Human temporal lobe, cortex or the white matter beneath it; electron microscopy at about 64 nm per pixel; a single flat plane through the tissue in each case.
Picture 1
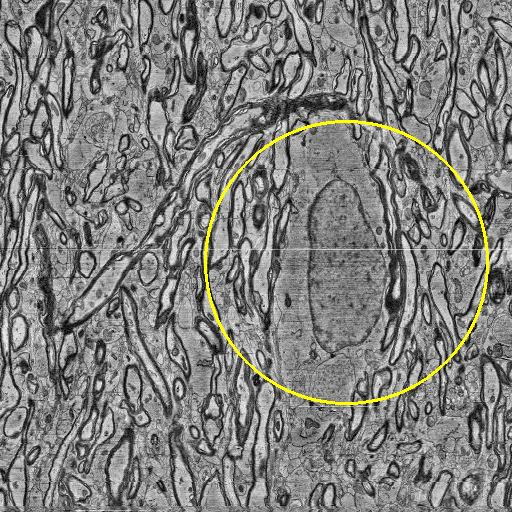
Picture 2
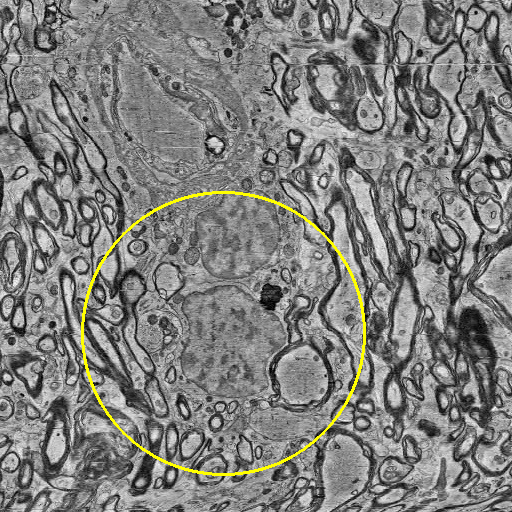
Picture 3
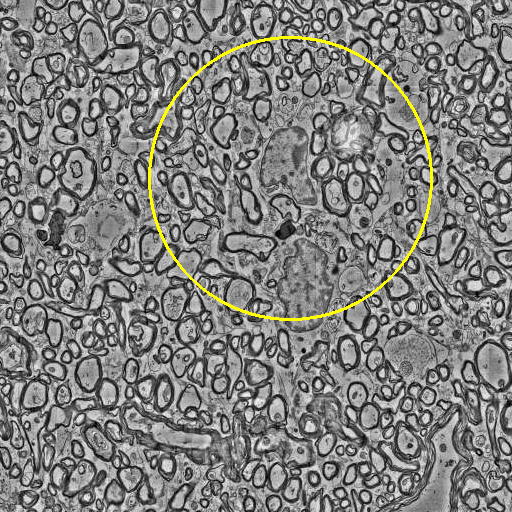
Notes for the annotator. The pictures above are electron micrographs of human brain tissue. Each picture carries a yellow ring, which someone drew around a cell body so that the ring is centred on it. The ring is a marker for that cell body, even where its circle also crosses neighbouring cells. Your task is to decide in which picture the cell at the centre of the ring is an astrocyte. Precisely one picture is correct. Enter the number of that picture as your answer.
1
